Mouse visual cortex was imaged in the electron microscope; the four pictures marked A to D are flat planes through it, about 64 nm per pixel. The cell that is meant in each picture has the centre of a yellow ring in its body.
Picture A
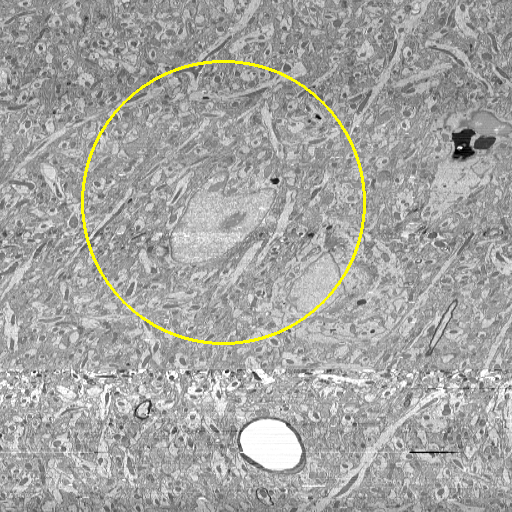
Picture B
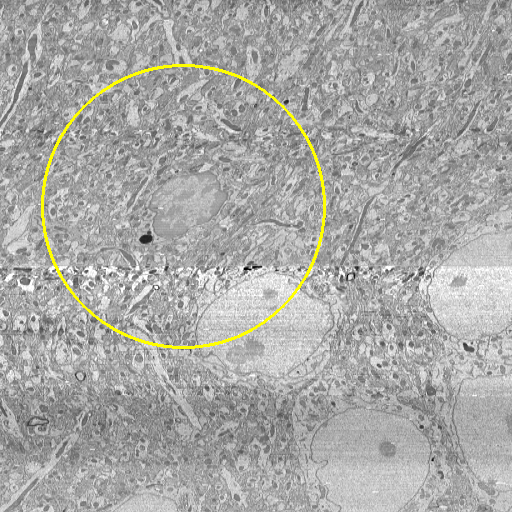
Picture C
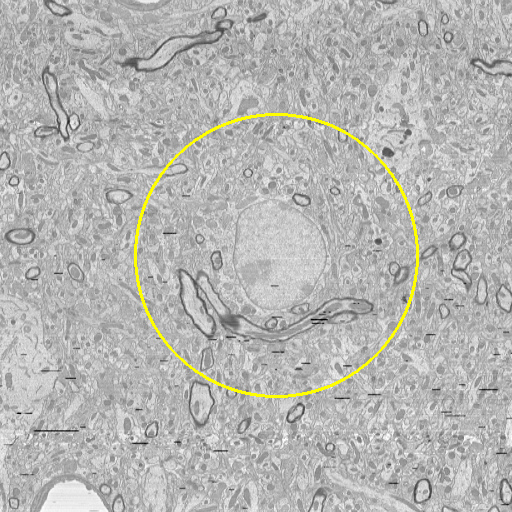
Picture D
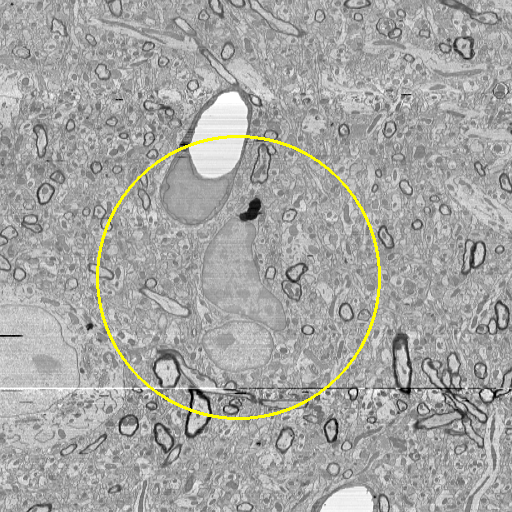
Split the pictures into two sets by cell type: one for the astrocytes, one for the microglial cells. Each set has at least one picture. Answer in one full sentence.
Pictures A and C show astrocytes, while pictures B and D show microglial cells.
